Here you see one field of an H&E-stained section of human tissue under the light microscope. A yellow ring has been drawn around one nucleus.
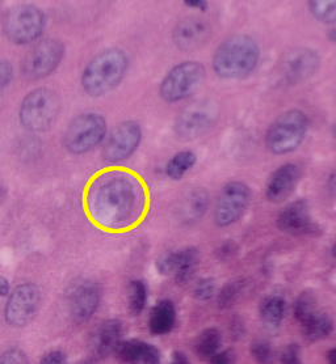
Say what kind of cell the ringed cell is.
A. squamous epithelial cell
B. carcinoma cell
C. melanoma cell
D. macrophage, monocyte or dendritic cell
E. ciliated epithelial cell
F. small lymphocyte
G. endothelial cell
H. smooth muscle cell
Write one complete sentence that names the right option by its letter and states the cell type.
In this section the ringed cell is a squamous epithelial cell; option A is therefore correct.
